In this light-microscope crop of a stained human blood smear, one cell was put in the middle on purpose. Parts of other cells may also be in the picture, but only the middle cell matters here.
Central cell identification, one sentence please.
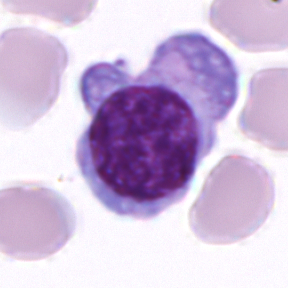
At the middle of the frame sits a plasma cell.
